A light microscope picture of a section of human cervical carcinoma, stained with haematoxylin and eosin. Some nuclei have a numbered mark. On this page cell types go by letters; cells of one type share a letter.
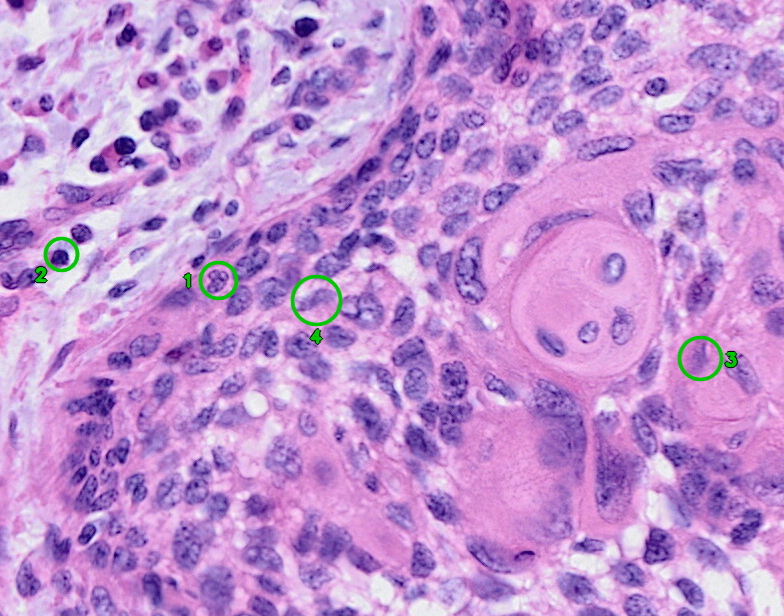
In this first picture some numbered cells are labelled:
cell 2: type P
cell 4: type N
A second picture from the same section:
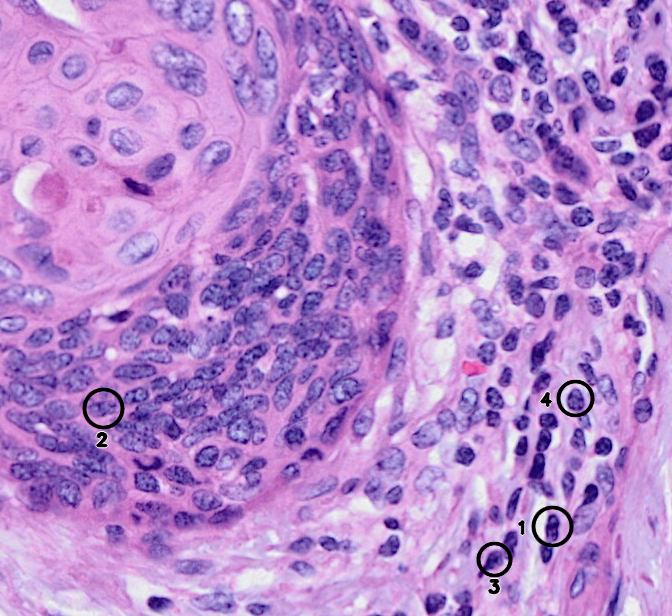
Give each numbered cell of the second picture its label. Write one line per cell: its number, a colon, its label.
1: type P
2: type N
3: type P
4: type P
